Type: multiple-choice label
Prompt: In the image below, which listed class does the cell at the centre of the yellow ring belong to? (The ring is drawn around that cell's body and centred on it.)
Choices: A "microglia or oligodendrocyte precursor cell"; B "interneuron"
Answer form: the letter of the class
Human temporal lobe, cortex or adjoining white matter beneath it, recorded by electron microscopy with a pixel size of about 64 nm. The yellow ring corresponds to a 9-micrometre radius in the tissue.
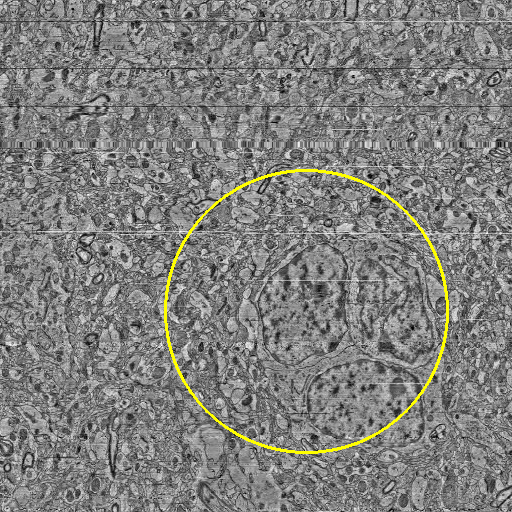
A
